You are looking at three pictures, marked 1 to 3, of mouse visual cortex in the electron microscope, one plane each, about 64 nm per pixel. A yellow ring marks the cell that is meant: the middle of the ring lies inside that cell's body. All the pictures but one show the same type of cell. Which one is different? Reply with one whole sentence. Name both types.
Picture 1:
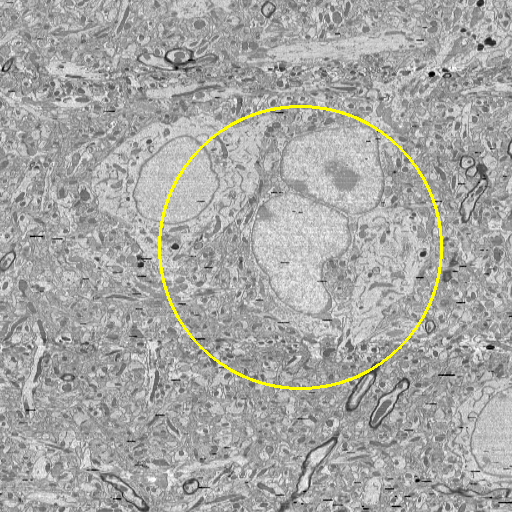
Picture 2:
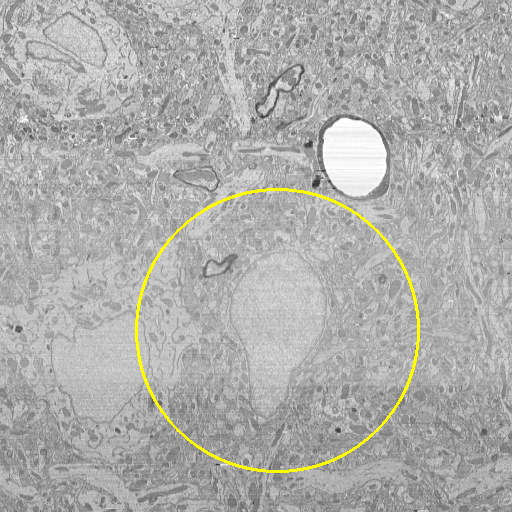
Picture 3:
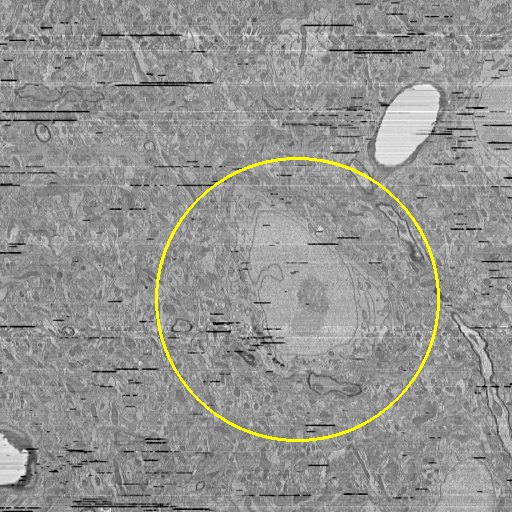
Picture 3 differs, because its cell is an inhibitory neuron and the rest are astrocytes.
